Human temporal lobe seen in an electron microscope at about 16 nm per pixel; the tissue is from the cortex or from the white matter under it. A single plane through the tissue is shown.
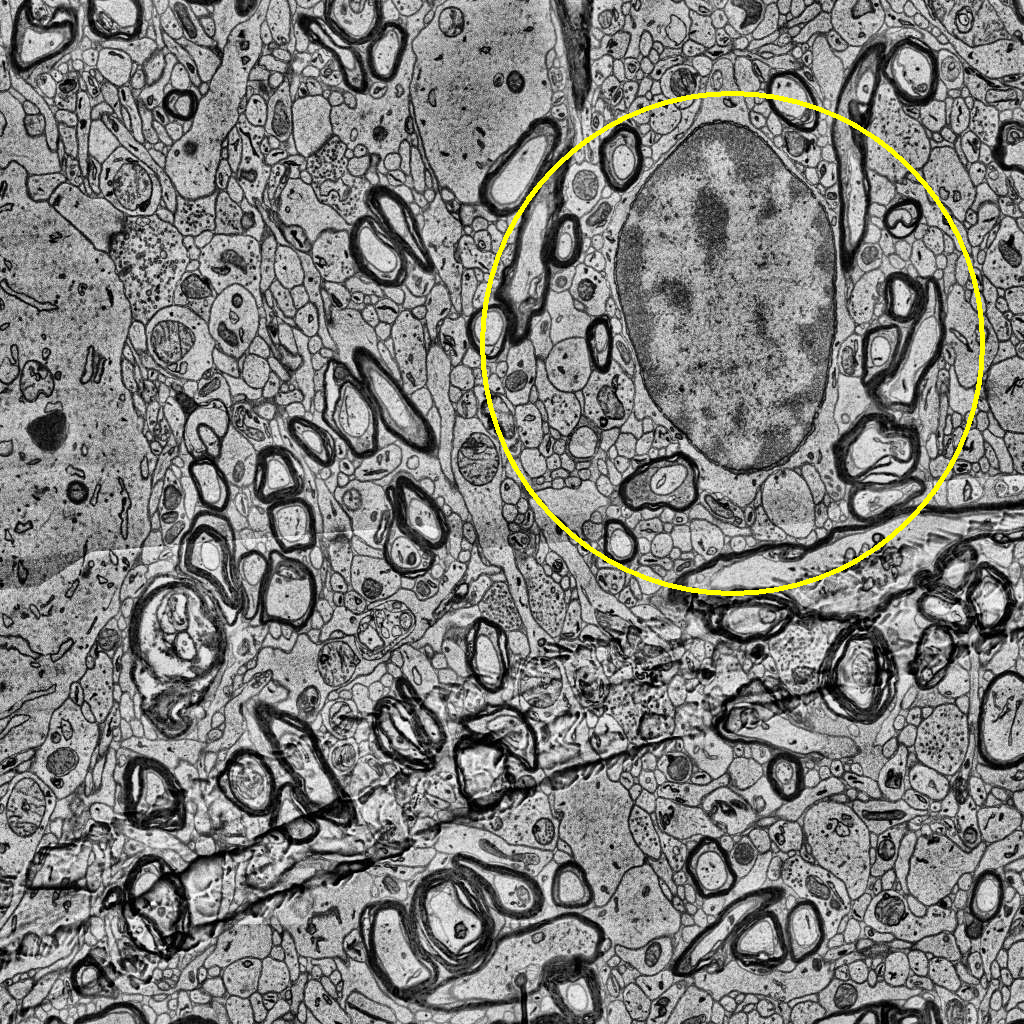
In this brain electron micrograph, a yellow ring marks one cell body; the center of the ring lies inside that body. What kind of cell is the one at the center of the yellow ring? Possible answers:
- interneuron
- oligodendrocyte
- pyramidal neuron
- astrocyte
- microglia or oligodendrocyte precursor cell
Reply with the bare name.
microglia or oligodendrocyte precursor cell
